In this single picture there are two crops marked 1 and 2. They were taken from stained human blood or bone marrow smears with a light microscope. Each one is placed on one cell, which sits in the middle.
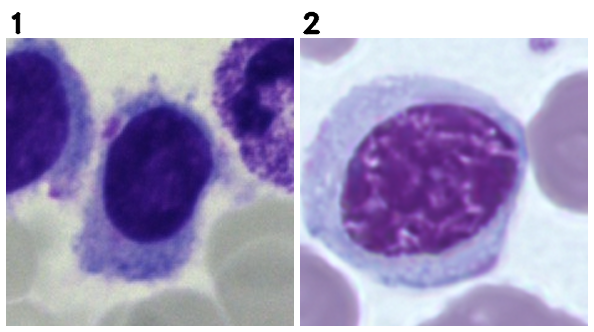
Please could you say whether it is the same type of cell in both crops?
no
